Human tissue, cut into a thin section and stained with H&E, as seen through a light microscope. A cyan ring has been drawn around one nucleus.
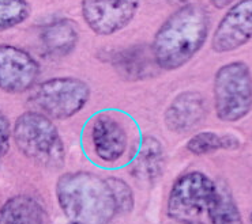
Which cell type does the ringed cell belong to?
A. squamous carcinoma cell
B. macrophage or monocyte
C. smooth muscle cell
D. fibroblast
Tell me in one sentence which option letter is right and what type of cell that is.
Under option A, the ringed cell is a squamous carcinoma cell, which is the correct identification.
